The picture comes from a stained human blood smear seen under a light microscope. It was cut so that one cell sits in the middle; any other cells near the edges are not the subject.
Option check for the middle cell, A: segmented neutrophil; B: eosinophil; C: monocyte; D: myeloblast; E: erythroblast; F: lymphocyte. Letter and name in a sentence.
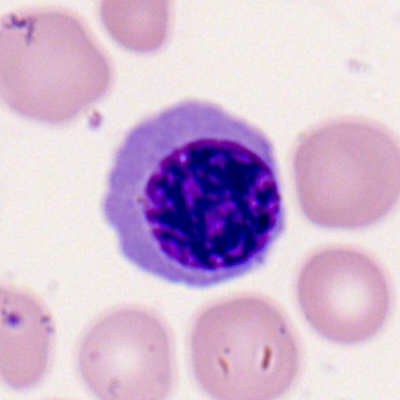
The cell occupying the centre is an erythroblast; option E is thus the correct choice.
